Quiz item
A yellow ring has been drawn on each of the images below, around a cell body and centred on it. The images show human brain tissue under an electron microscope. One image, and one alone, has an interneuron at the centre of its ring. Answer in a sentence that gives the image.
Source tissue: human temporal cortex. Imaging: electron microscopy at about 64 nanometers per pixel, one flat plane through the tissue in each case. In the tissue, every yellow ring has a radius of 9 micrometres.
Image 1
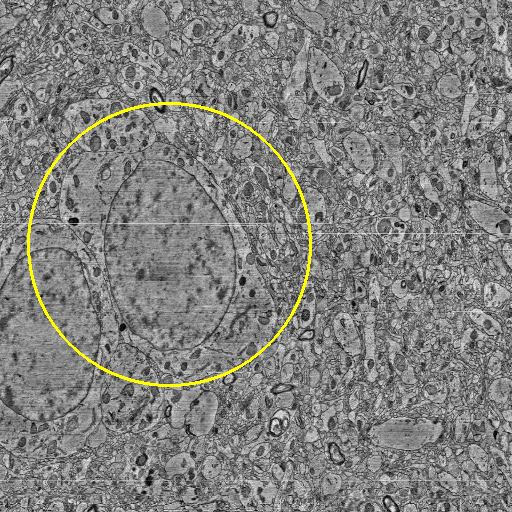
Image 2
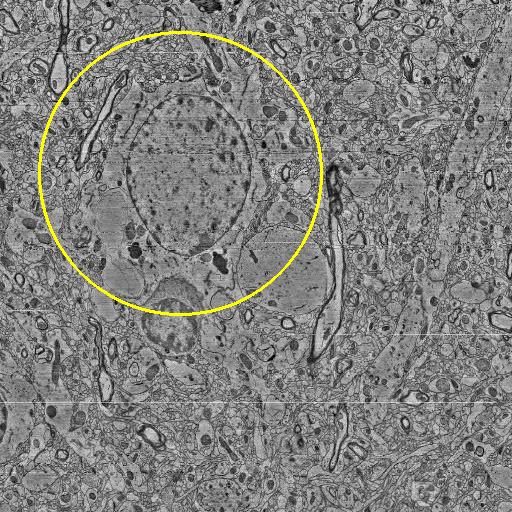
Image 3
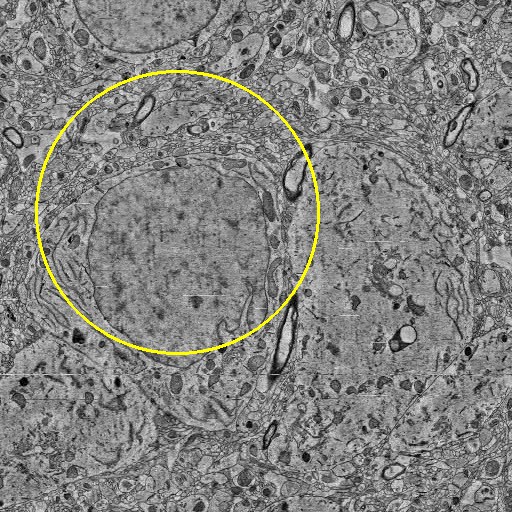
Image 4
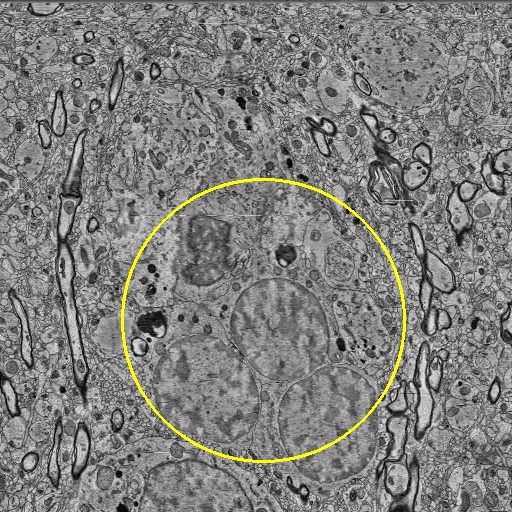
Image 3 shows it at the centre of the ring.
